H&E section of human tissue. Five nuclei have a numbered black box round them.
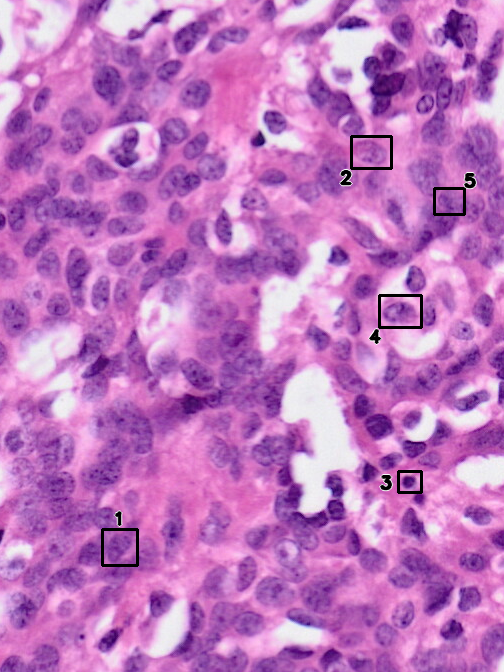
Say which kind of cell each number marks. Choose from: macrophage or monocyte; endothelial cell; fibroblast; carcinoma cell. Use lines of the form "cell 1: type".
cell 1: carcinoma cell
cell 2: carcinoma cell
cell 3: macrophage or monocyte
cell 4: macrophage or monocyte
cell 5: carcinoma cell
